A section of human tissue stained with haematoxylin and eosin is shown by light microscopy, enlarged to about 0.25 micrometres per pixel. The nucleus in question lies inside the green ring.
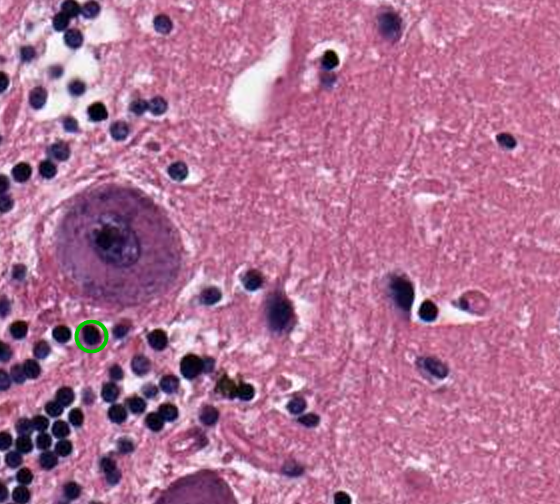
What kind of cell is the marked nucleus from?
cerebellar granule cell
